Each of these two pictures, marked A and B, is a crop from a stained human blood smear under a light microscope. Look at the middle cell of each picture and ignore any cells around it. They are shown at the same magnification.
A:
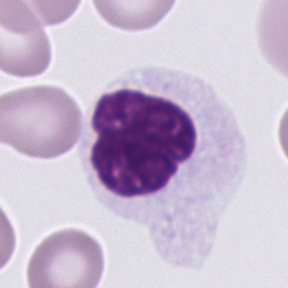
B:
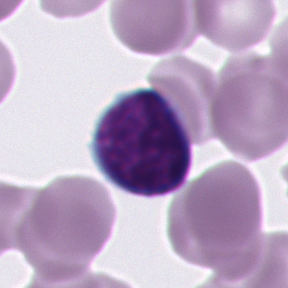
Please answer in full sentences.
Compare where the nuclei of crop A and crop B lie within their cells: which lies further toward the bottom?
Seen within its cell, the nucleus in crop B lies further toward the bottom.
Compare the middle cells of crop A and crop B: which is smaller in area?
The cell in crop B is smaller; the one in crop A has about 2 times its area.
